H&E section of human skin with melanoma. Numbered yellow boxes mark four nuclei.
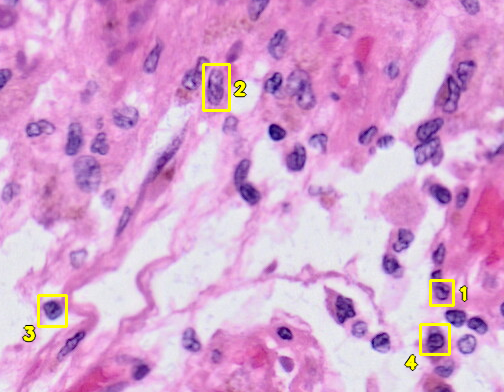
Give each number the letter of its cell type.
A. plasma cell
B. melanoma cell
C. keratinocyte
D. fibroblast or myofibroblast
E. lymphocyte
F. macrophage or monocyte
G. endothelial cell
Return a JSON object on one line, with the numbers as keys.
{"1": "F", "2": "F", "3": "E", "4": "F"}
